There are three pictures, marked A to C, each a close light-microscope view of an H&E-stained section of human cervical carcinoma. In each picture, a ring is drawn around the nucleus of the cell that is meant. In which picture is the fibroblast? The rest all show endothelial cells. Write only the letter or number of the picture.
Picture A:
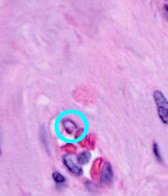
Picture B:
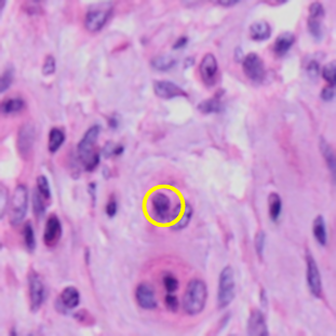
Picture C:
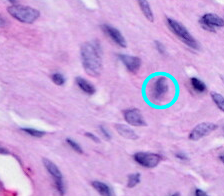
C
